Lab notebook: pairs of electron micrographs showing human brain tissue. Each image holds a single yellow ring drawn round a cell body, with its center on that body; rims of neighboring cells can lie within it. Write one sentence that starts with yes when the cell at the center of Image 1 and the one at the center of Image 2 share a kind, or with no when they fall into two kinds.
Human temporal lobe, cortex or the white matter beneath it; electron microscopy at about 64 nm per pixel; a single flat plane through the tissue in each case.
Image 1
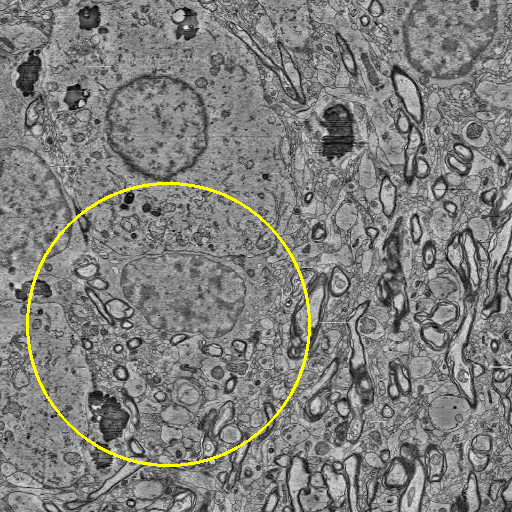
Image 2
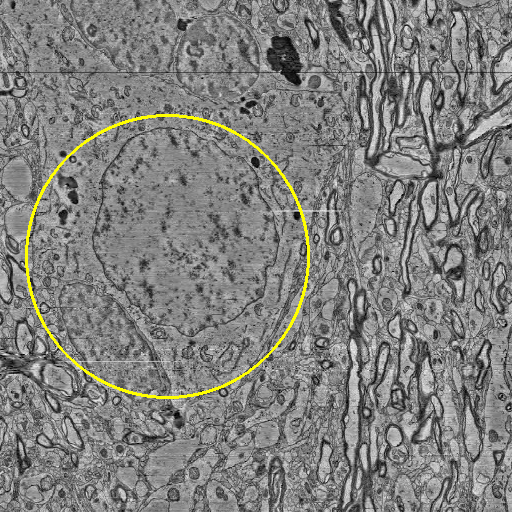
No, the centered cell in Image 1 and the centered cell in Image 2 are of two kinds.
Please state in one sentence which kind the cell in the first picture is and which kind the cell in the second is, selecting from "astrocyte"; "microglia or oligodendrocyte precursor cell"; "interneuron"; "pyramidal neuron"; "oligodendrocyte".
The first ringed cell is an oligodendrocyte, the second ringed cell a pyramidal neuron.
